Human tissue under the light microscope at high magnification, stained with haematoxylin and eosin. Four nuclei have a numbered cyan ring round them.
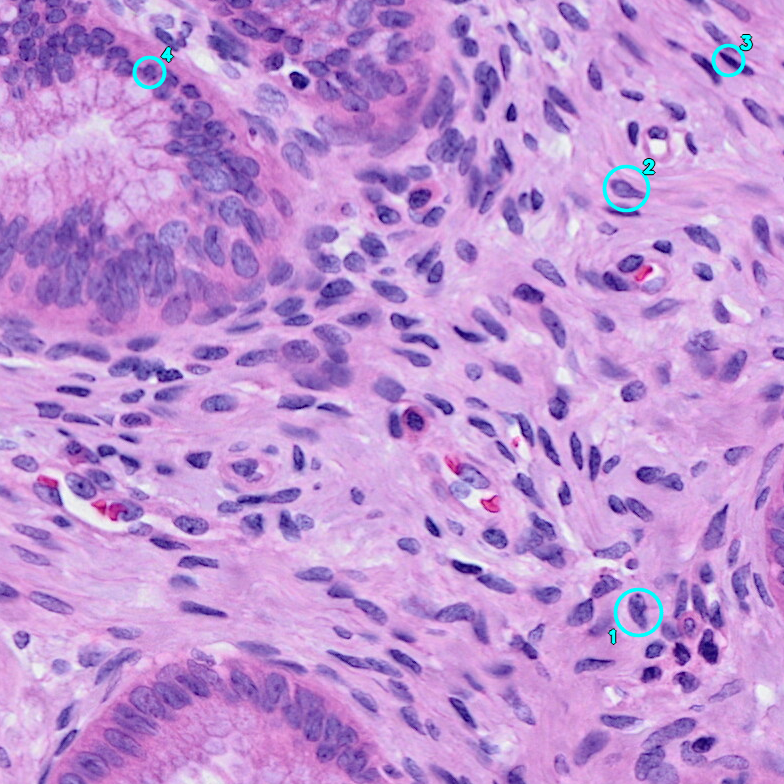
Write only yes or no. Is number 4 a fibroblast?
no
